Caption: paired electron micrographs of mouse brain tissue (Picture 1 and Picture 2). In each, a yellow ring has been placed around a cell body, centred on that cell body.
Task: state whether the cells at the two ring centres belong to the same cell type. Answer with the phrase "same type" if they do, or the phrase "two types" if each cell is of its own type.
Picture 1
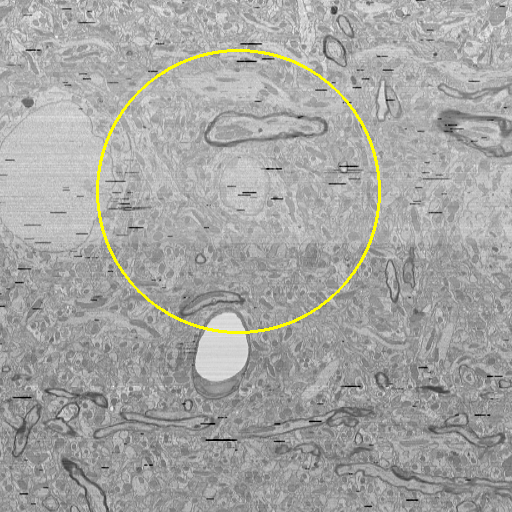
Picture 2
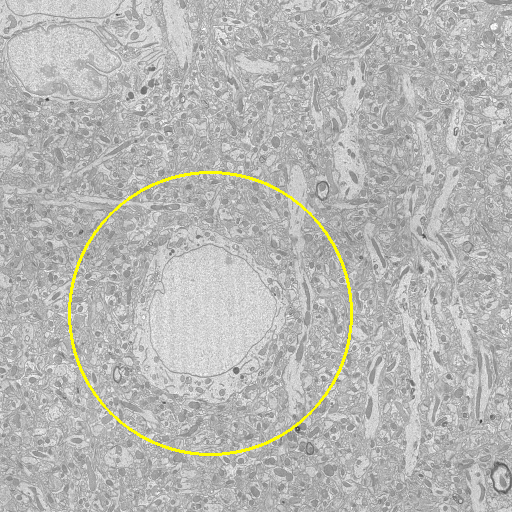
two types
